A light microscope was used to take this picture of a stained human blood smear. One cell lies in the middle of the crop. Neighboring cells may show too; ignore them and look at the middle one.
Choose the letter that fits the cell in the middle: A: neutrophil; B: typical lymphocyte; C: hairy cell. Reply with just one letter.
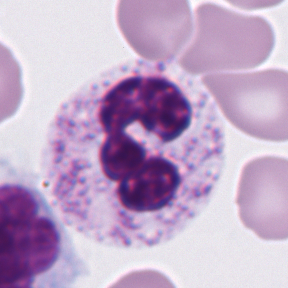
A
